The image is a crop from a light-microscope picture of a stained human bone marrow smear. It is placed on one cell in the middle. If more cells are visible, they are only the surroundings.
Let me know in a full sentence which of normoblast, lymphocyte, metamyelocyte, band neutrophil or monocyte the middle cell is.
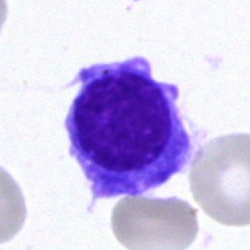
The cell of interest, in the center, is a lymphocyte.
